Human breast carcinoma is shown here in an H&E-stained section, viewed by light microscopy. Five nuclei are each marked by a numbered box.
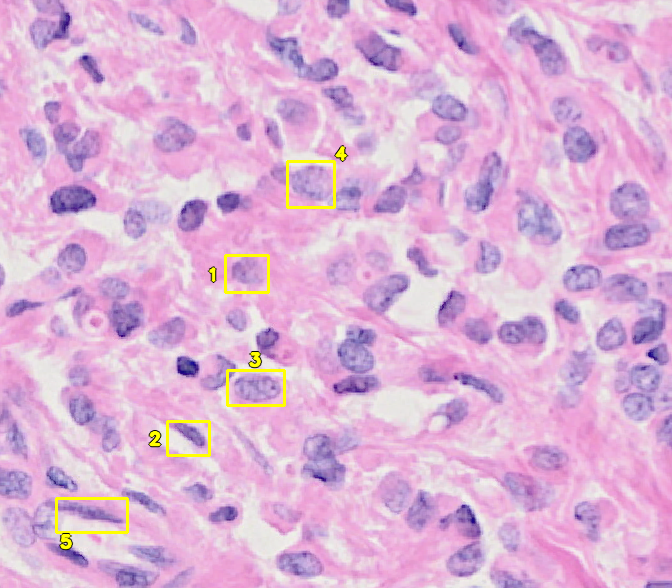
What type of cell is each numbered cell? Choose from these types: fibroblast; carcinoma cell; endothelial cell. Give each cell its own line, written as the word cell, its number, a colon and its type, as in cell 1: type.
cell 1: fibroblast
cell 2: fibroblast
cell 3: carcinoma cell
cell 4: carcinoma cell
cell 5: endothelial cell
